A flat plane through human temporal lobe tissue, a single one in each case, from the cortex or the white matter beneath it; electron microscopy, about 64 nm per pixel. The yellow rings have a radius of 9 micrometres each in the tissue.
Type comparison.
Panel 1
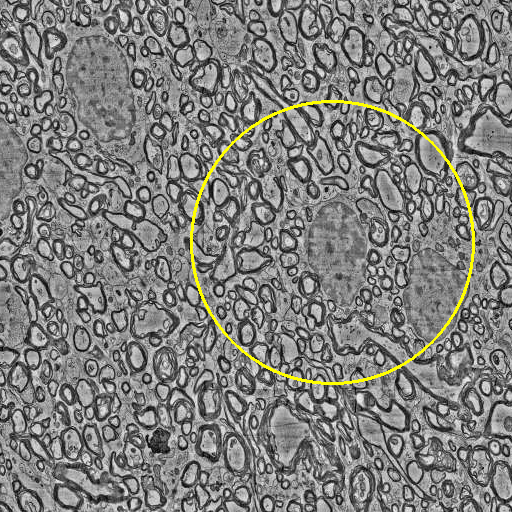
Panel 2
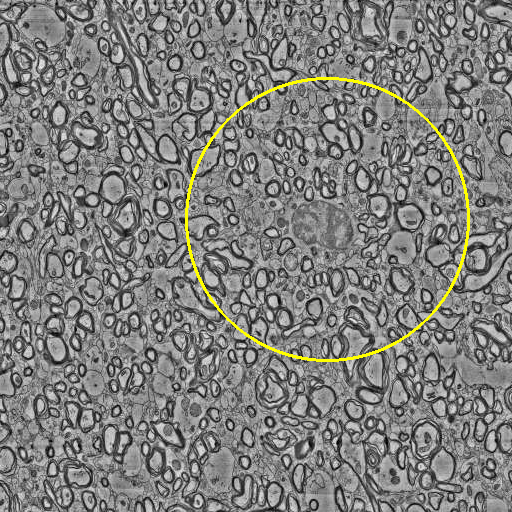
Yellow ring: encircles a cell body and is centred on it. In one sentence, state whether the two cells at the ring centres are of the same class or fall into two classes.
In these panels, the two cells at the ring centres are of the same class.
